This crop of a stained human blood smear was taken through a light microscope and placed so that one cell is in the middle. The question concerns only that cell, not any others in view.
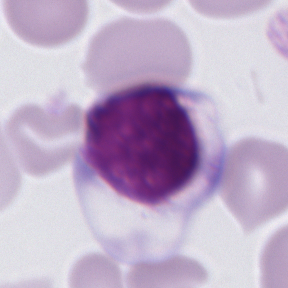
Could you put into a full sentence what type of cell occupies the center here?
The center cell of this crop is a large granular lymphocyte.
